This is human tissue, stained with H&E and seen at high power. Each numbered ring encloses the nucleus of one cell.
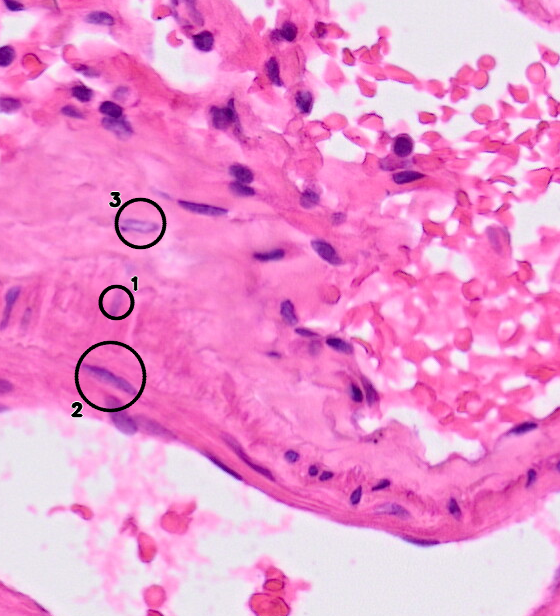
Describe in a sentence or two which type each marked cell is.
Cell 1 is a smooth muscle cell or pericyte, cell 2 is a smooth muscle cell or pericyte and cell 3 is a fibroblast.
